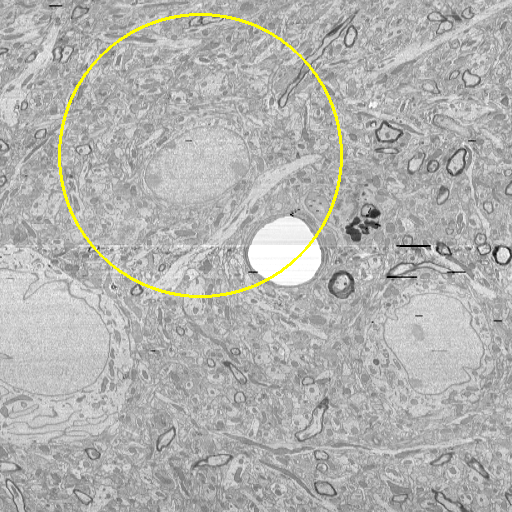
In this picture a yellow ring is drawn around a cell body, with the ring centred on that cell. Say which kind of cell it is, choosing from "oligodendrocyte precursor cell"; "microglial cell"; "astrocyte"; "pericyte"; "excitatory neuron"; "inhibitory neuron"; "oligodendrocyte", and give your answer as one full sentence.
Here it is an astrocyte that sits at the centre of the drawn yellow ring.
